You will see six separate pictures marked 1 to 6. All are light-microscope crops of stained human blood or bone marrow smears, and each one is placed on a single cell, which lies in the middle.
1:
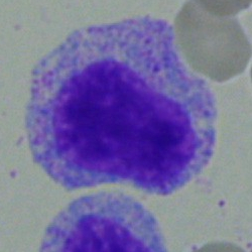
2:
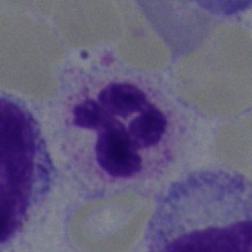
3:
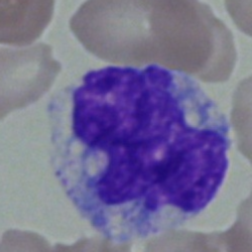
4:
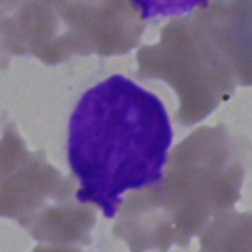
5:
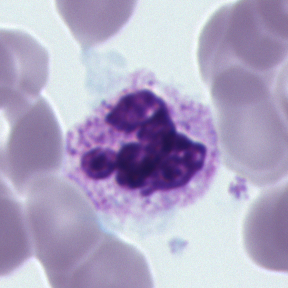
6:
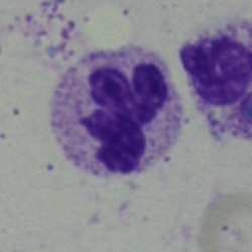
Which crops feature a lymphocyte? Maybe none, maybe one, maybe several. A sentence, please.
Out of the whole set, crop 4 is the only crop depicting a lymphocyte.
